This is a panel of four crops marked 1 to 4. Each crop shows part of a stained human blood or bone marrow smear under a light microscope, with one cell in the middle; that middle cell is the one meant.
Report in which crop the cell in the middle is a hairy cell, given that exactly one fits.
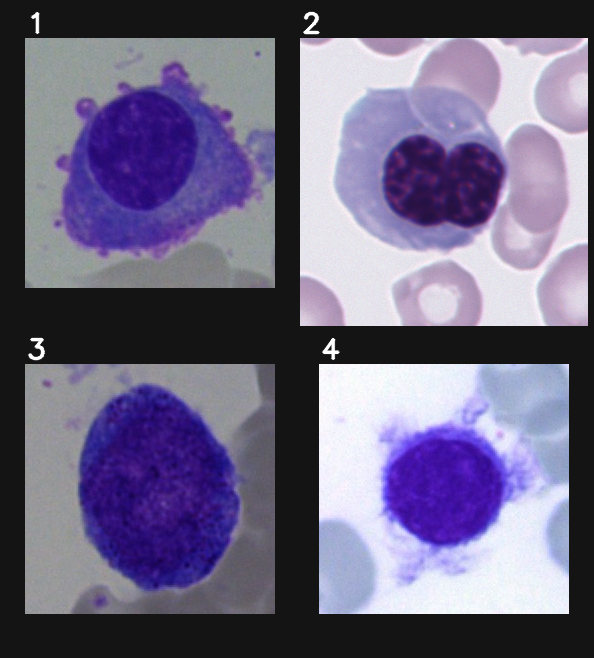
4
